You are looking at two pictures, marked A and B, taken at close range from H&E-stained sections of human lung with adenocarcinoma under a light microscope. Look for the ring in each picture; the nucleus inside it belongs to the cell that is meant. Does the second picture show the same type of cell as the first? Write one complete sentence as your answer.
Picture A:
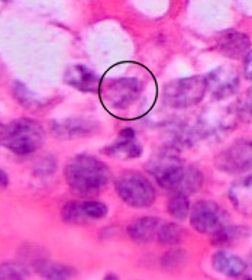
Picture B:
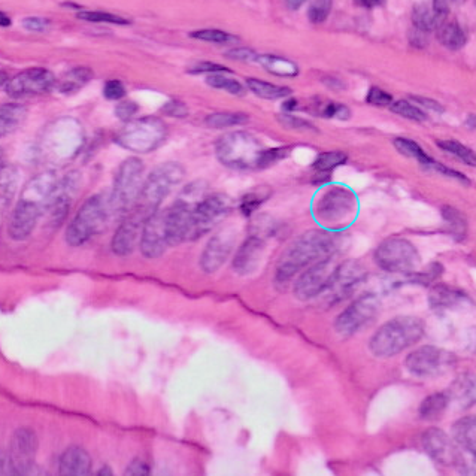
Yes, both are ciliated epithelial cells.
